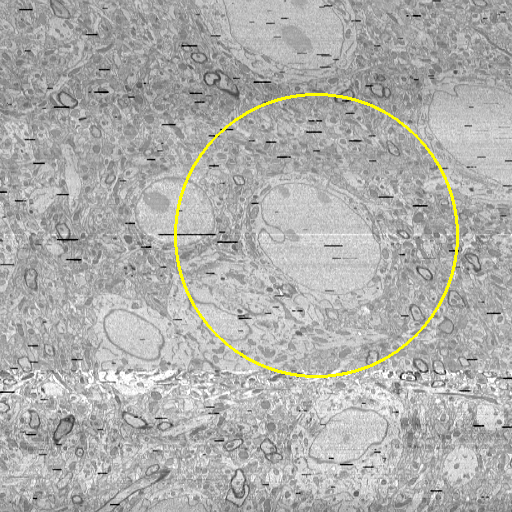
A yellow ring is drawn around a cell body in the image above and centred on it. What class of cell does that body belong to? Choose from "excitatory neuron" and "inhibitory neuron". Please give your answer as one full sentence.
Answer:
The yellow ring above is centred on the cell body of an excitatory neuron.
